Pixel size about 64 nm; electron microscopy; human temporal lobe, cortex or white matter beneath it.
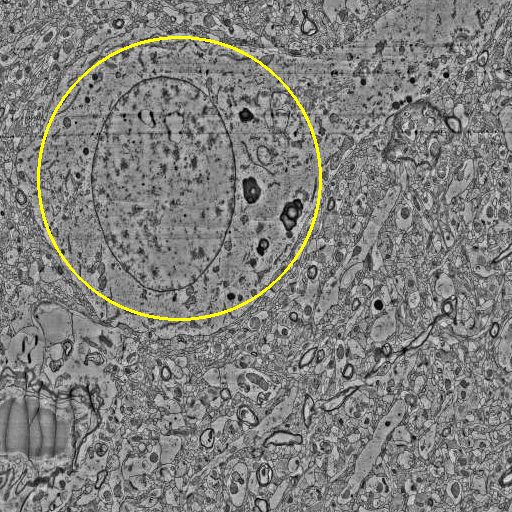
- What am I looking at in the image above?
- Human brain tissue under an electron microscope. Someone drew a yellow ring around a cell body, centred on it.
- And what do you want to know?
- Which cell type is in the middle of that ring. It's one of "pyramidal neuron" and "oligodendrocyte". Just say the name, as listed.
pyramidal neuron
